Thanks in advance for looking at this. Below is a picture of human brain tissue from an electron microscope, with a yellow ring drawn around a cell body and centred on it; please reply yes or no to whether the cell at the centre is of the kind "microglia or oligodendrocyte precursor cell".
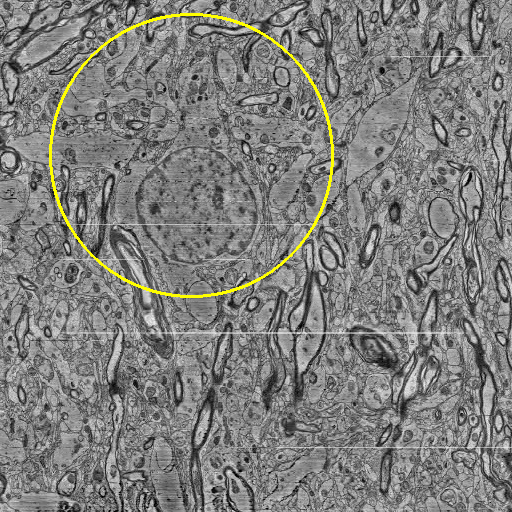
yes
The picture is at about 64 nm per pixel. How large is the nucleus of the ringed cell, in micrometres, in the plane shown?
Approximately 8 micrometres across in this plane.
